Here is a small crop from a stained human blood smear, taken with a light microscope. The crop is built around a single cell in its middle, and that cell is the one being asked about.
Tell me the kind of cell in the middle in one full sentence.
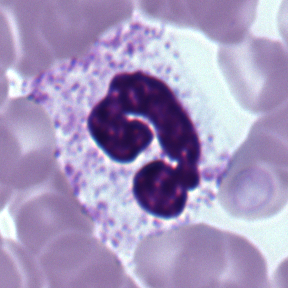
The identification for the central cell is a segmented neutrophil.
